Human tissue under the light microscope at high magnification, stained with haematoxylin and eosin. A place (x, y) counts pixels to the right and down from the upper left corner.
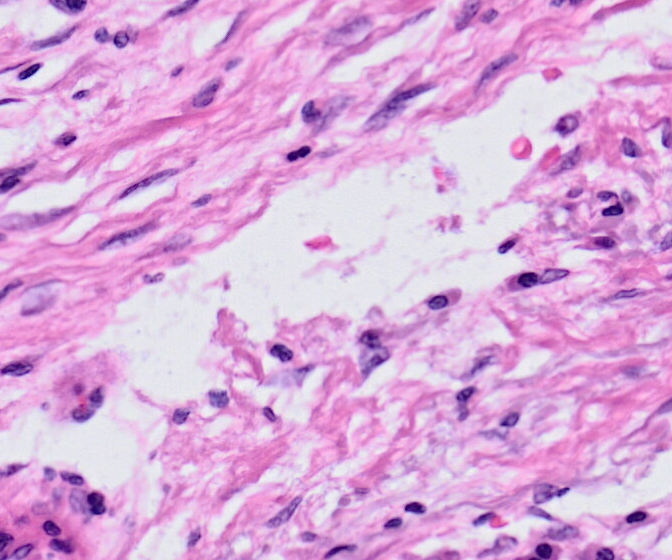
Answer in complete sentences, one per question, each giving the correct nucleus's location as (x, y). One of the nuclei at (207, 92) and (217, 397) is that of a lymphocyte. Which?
So, of the two, the nucleus at (217, 397) is the one belonging to a lymphocyte.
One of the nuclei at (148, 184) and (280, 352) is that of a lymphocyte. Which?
The nucleus at (280, 352) is identified as belonging to a lymphocyte.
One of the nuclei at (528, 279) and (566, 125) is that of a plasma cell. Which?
The one belonging to a plasma cell is the nucleus at (528, 279), not the other.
